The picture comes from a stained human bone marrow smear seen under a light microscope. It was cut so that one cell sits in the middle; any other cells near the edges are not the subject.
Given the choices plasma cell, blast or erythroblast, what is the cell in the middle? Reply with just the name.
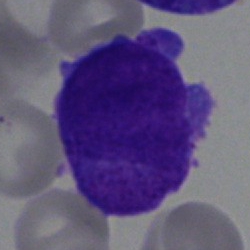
blast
